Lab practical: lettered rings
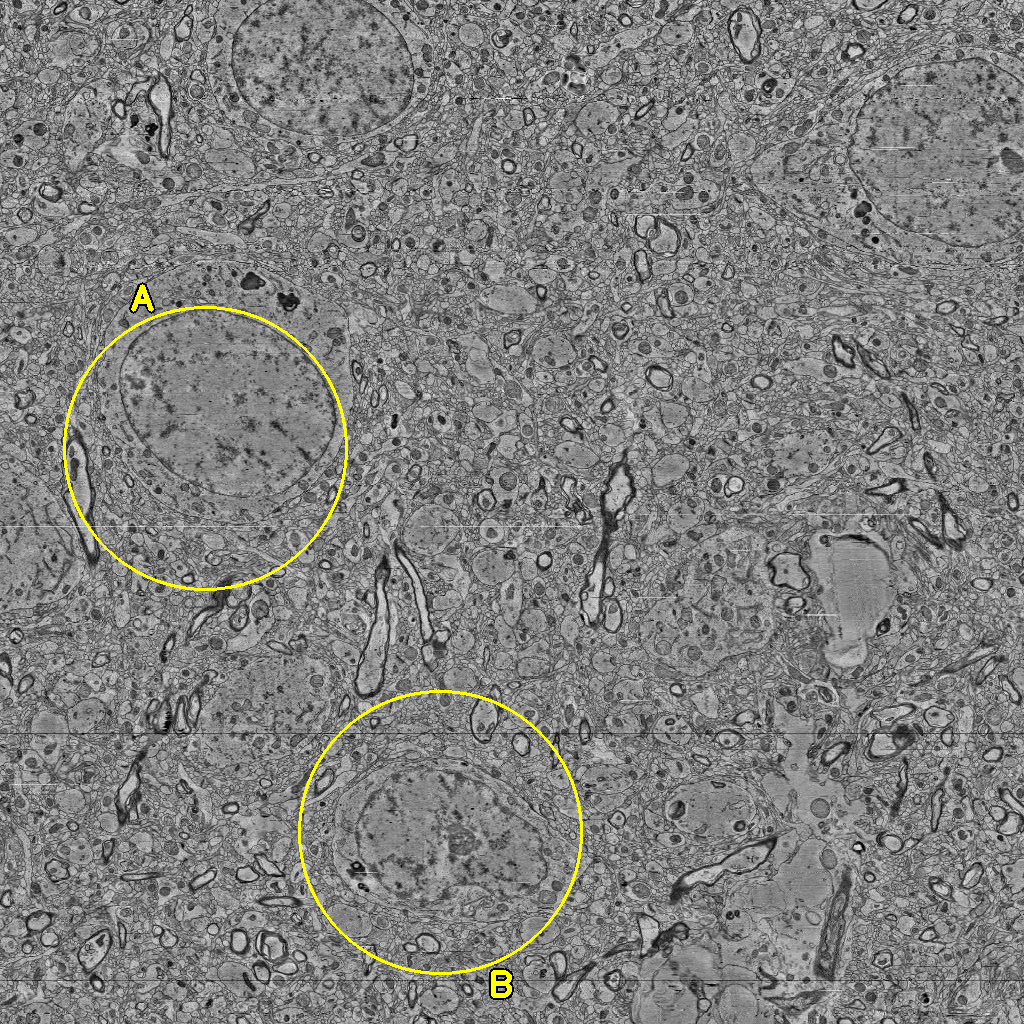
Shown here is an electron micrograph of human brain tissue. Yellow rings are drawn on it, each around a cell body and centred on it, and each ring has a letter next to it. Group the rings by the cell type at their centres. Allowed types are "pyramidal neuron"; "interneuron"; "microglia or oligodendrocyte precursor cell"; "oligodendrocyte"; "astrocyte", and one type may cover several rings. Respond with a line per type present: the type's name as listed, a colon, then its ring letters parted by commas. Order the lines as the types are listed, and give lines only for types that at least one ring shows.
pyramidal neuron: A
interneuron: B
